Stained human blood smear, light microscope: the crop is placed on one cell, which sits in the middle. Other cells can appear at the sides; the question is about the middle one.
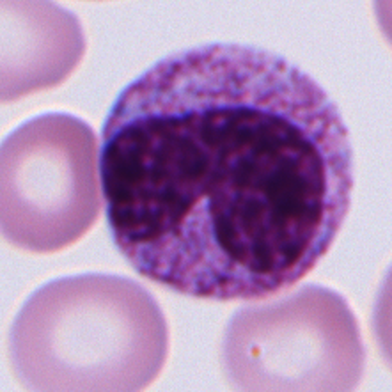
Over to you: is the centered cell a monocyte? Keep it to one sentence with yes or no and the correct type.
No, the middle cell is classified as a band neutrophil and not as a monocyte.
